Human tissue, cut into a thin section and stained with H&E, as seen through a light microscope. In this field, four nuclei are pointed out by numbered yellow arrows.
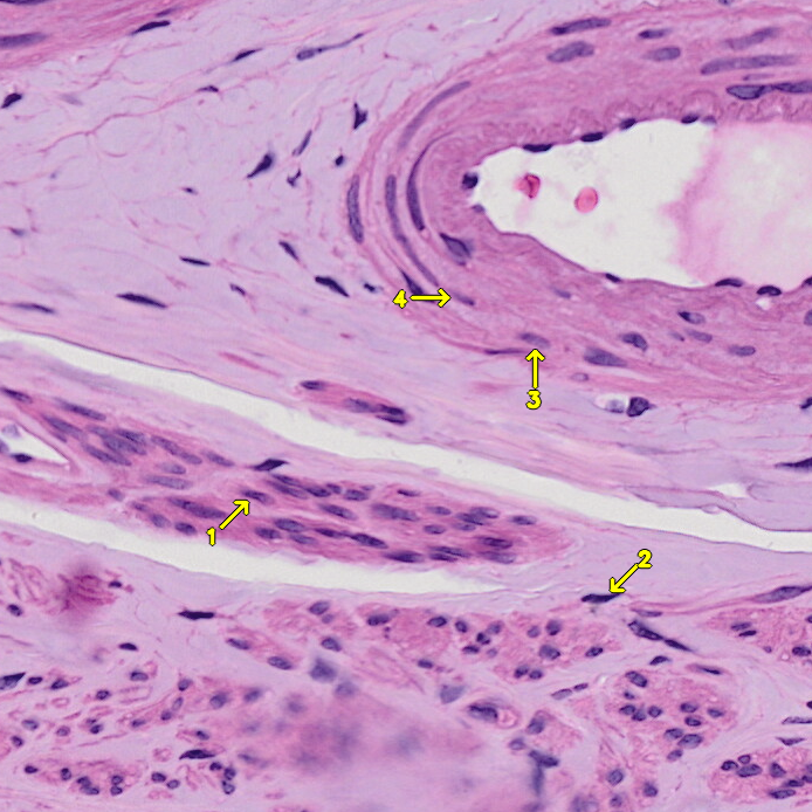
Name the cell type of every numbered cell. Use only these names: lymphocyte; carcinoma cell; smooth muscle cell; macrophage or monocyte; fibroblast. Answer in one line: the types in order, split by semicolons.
smooth muscle cell; fibroblast; smooth muscle cell; smooth muscle cell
